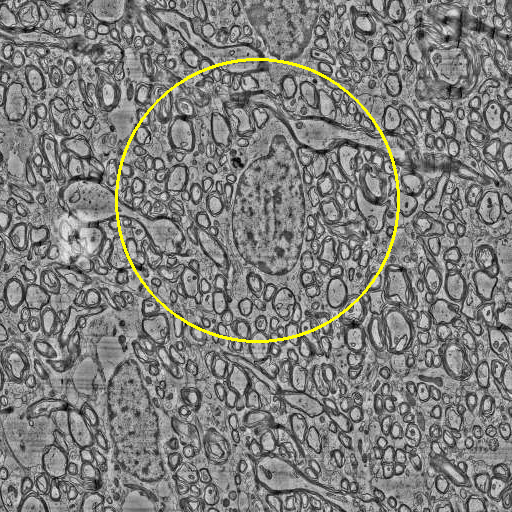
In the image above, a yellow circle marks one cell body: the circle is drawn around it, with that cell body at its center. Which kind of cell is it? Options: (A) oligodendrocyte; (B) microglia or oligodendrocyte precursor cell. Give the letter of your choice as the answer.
B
